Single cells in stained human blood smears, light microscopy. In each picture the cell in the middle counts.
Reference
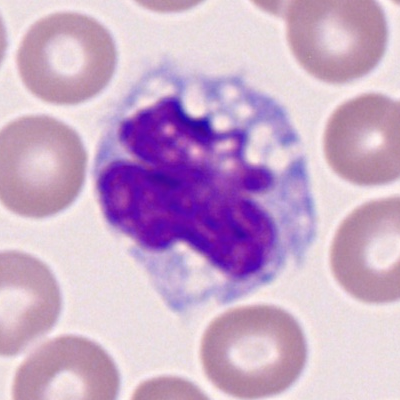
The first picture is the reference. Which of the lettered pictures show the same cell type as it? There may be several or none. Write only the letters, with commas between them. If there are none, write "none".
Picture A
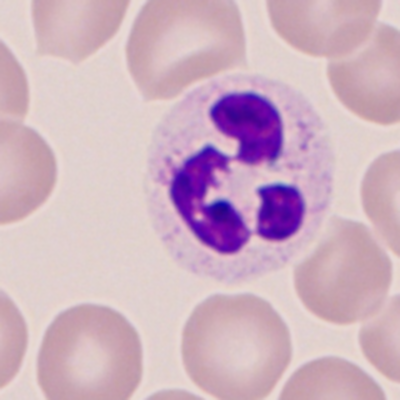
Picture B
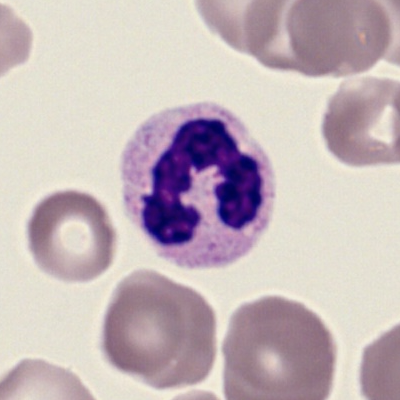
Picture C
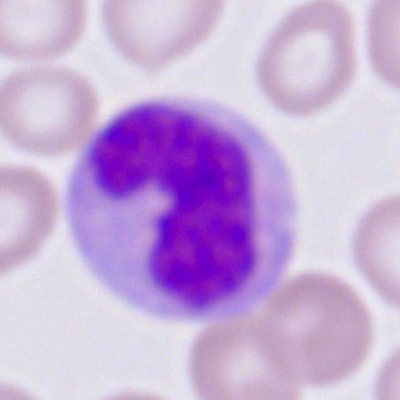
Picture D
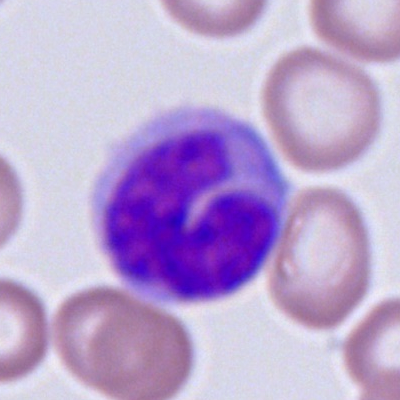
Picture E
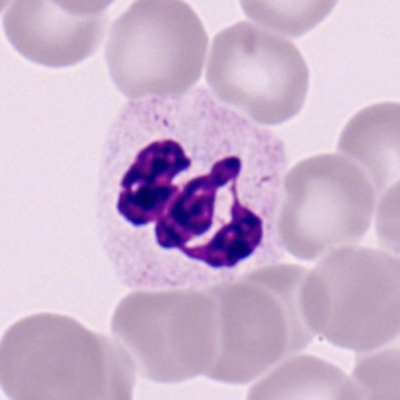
C, D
